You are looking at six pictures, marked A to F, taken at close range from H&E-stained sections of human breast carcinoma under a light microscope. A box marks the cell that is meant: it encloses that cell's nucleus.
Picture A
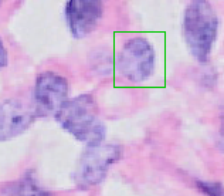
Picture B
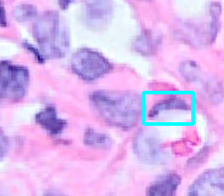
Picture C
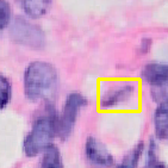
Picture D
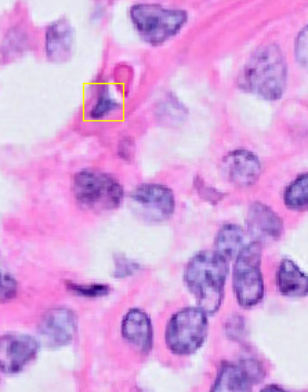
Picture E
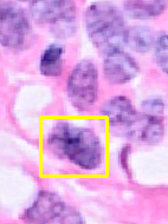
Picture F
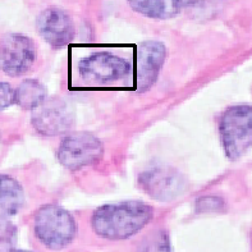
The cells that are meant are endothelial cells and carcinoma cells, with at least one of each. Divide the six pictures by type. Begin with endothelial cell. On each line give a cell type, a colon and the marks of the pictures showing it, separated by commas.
endothelial cell: B, C, D
carcinoma cell: A, E, F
